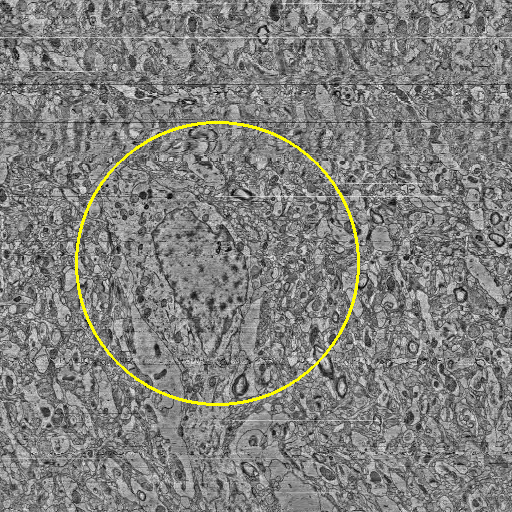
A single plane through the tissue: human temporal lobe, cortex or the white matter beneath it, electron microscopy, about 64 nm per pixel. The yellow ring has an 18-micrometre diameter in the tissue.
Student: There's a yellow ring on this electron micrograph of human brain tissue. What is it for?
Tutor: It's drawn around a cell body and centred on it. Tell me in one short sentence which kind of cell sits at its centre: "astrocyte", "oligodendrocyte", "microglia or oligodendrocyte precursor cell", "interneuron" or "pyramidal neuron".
The cell at the centre of the ring is an interneuron.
